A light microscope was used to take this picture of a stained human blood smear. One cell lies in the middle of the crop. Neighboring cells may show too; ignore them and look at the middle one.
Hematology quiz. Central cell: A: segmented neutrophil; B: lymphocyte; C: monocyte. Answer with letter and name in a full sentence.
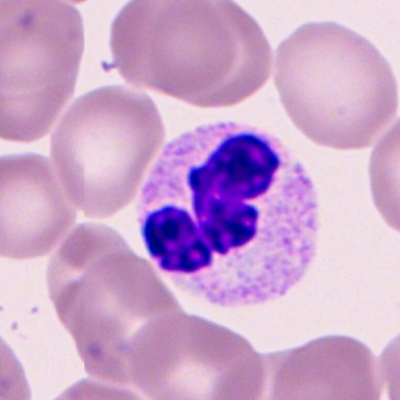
Option A is the right one, for the cell in the middle is a segmented neutrophil.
